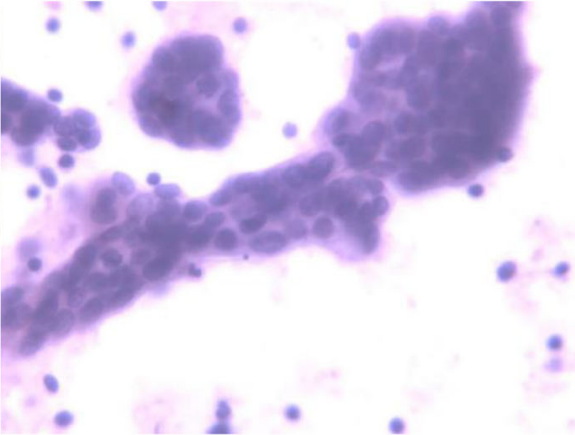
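This smear shows cohesive glandular clusters of atypical epithelial cells set among scattered lymphocytes. The epithelial cells form large, crowded, three-dimensional groups, one of them rounded like a ball, with overlapping nuclei and purple cytoplasm whose cell borders are hard to make out. Around the clusters lie small single round cells with dark nuclei and little cytoplasm, on a pale background.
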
